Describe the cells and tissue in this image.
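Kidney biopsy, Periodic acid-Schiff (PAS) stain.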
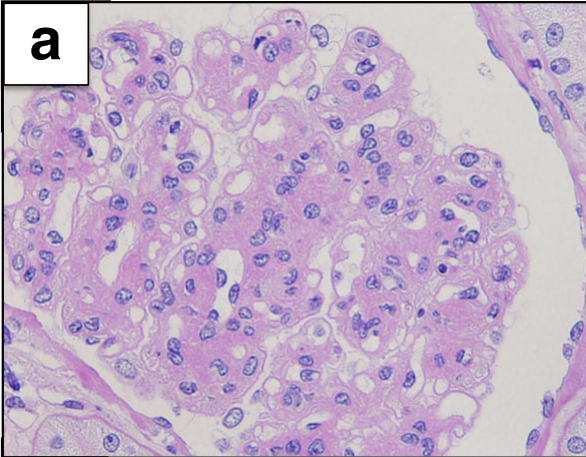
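A single rounded, lobulated tuft of capillary loops fills the field, with many crowded blue nuclei lying in the centres of the lobules and widened pink matrix between the open capillary spaces. This is a glomerulus with increased cellularity and pink-staining material in the mesangium.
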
